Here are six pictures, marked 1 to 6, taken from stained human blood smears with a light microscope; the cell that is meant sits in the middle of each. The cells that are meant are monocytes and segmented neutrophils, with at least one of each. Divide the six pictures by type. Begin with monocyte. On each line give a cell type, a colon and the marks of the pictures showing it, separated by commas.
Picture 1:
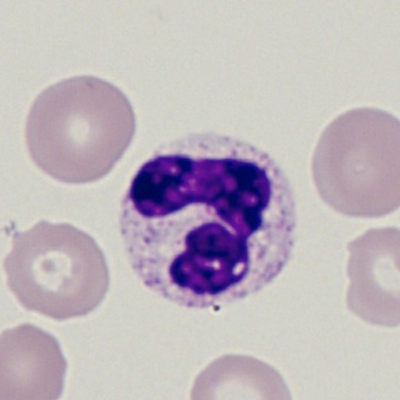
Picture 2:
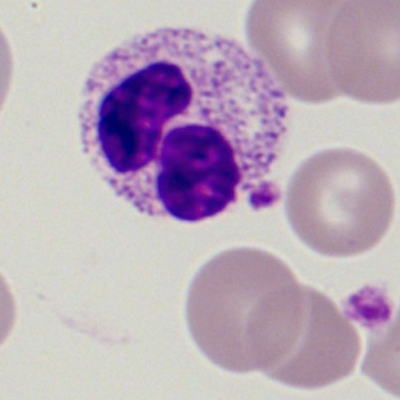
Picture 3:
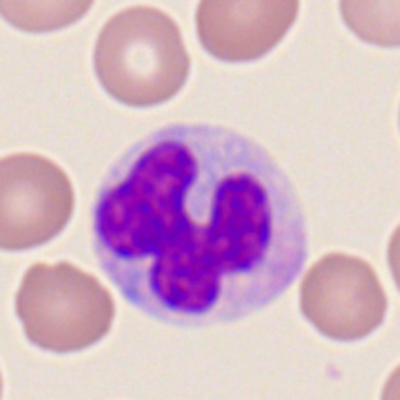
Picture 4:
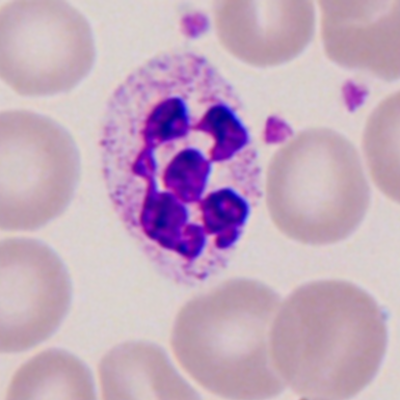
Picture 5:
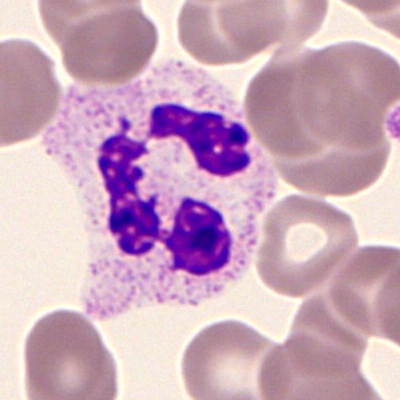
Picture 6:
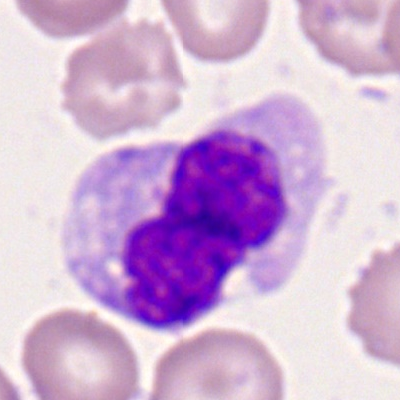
monocyte: 3, 6
segmented neutrophil: 1, 2, 4, 5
